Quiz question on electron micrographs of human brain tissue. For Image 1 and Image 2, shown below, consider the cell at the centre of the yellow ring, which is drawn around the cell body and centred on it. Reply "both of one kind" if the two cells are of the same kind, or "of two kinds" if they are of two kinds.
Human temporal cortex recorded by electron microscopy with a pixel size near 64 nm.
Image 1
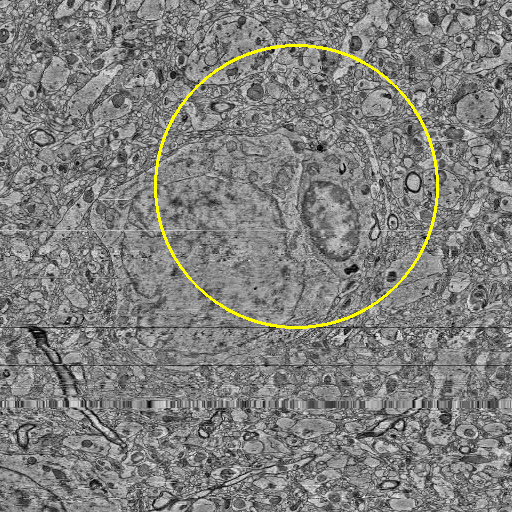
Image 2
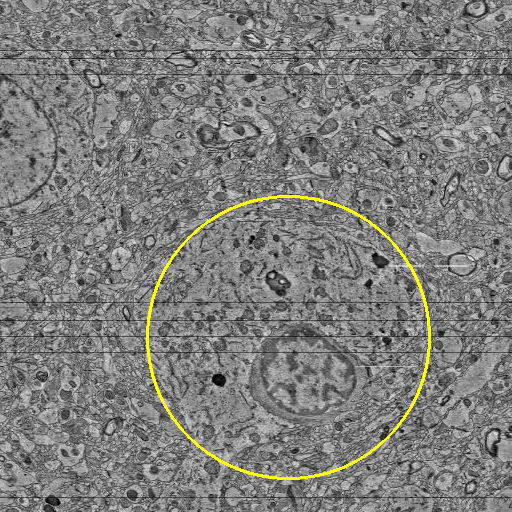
both of one kind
